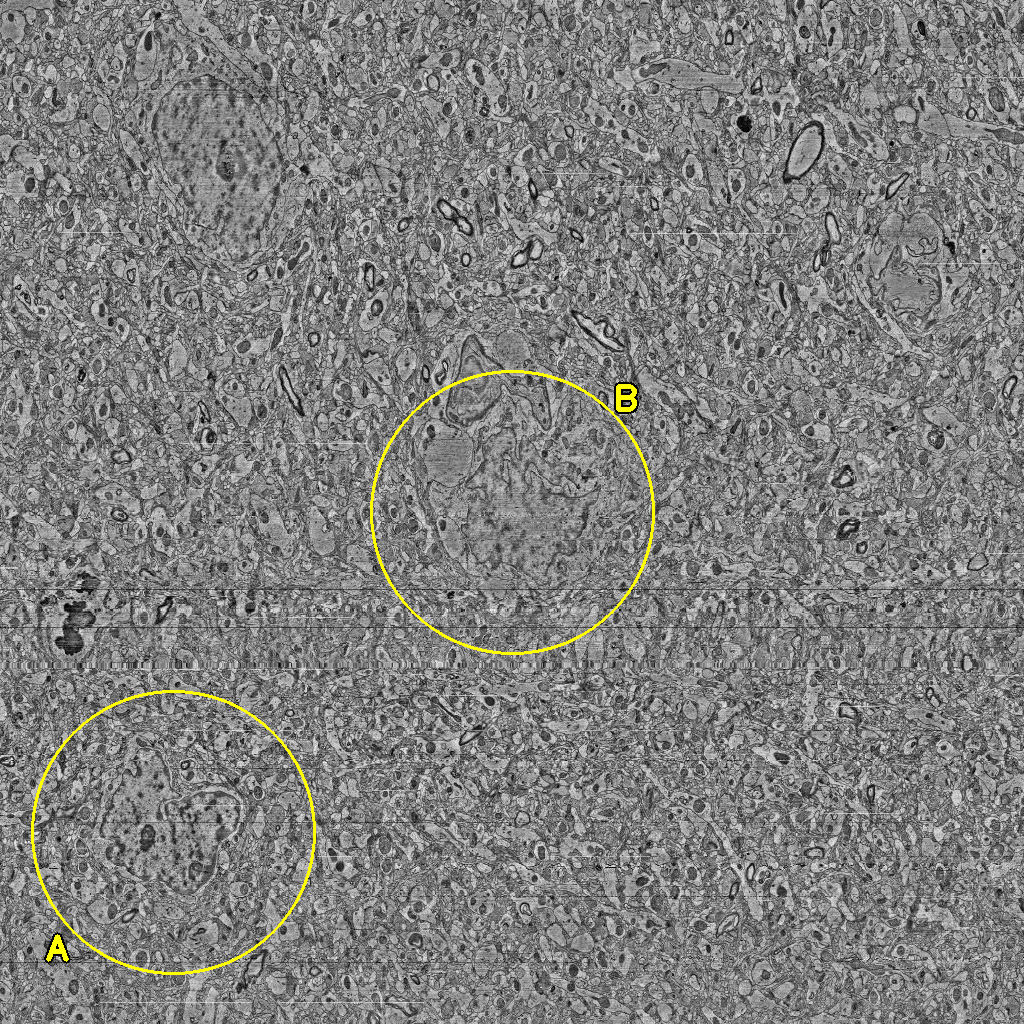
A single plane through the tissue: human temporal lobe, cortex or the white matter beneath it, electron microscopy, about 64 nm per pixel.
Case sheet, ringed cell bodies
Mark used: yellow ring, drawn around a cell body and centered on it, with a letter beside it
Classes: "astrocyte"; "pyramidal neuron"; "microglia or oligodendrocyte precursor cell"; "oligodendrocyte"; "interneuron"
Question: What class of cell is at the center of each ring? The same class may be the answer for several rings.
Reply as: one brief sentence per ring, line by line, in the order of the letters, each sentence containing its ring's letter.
Ring A has a microglial cell or oligodendrocyte precursor cell at its center.
Ring B has an interneuron at its center.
